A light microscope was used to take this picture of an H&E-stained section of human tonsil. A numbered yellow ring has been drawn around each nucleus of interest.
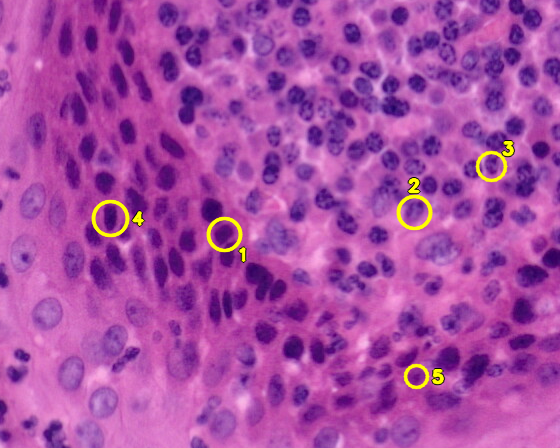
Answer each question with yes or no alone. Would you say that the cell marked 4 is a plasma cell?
no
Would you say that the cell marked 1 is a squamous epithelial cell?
yes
